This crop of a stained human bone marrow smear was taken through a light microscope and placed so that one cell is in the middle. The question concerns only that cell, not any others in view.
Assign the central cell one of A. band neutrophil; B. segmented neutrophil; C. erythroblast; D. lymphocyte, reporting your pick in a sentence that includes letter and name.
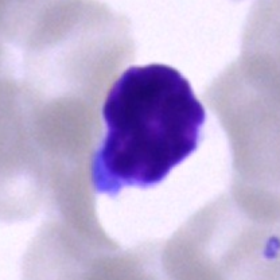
Option D is right, the centrally situated cell being a lymphocyte.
